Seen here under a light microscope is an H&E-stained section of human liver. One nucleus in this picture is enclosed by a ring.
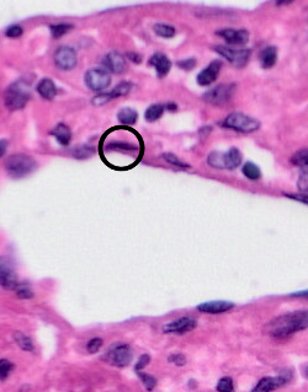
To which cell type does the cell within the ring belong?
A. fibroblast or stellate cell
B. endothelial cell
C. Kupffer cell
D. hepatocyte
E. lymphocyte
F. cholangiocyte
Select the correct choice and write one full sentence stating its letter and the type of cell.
Best answer: option A, with the cell within the ring being a fibroblast or stellate cell.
